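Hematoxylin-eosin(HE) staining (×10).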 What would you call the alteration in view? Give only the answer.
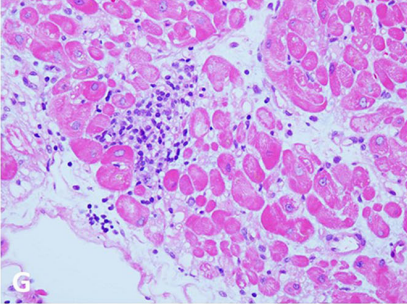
lymphocytic infiltration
